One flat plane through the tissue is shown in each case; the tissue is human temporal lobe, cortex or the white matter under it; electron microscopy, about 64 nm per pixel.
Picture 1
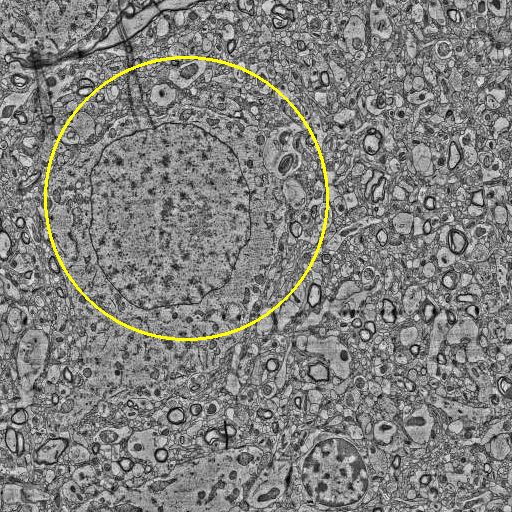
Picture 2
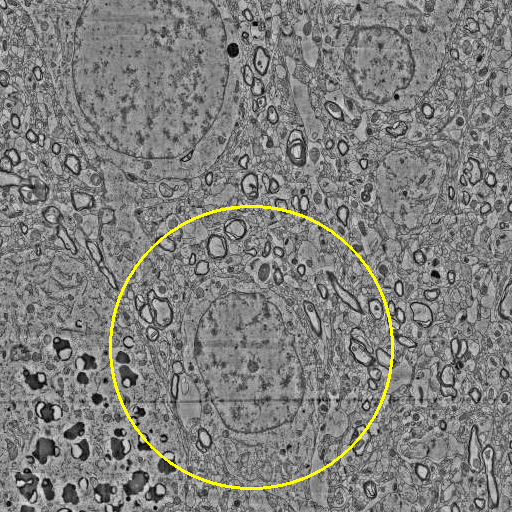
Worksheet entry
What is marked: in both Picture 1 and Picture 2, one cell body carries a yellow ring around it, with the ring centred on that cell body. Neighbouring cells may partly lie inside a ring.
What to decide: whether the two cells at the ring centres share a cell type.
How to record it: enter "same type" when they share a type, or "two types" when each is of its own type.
same type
